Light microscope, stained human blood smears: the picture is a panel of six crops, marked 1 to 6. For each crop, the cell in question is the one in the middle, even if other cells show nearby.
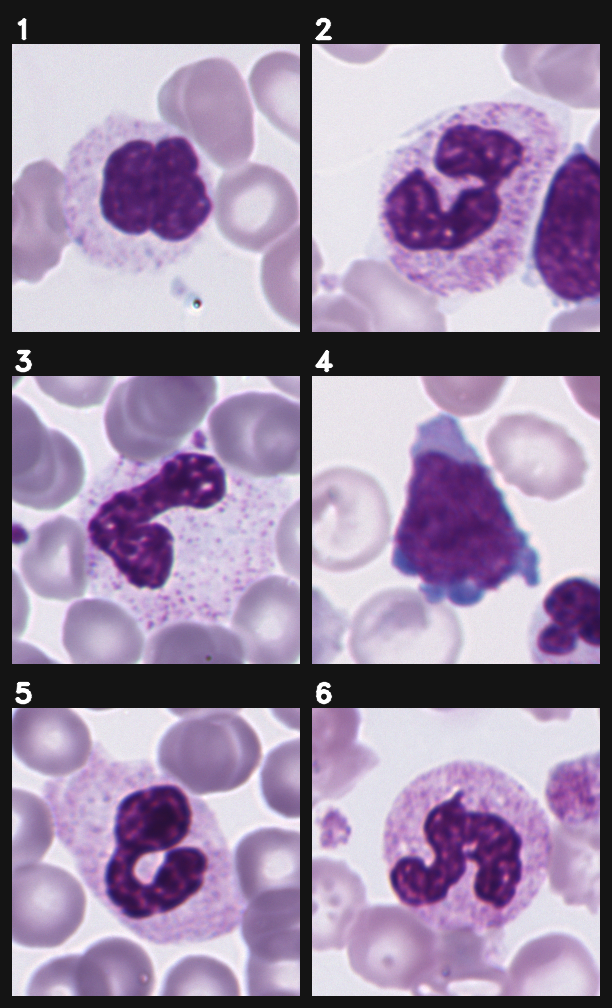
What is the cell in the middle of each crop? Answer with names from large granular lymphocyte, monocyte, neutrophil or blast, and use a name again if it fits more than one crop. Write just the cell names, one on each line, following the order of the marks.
neutrophil
neutrophil
neutrophil
blast
neutrophil
neutrophil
